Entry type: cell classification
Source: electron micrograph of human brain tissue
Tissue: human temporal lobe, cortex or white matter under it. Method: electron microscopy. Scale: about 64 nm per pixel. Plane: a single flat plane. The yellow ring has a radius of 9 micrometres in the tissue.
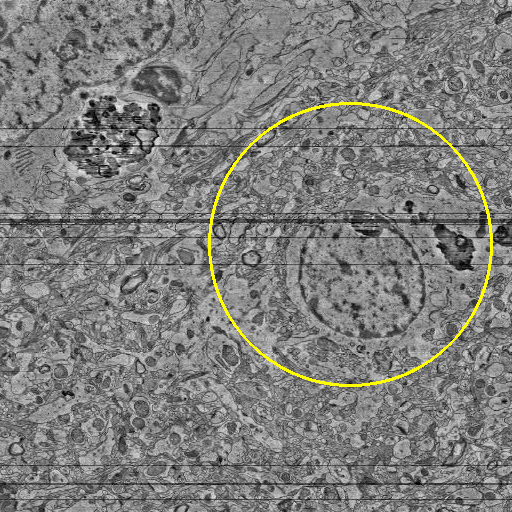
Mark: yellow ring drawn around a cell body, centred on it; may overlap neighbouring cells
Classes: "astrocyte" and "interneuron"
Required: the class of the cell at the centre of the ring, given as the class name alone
astrocyte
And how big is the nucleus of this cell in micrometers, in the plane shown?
In this plane the ringed cell's nucleus is roughly 8 micrometres across.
